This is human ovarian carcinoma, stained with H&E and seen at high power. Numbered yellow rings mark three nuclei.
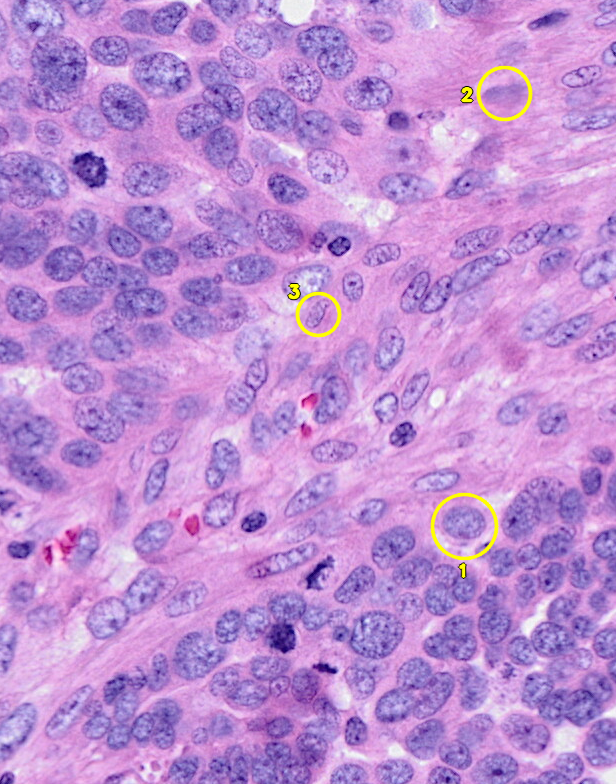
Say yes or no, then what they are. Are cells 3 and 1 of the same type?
No, that's wrong; cell 3 is a fibroblast and cell 1 is a carcinoma cell.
